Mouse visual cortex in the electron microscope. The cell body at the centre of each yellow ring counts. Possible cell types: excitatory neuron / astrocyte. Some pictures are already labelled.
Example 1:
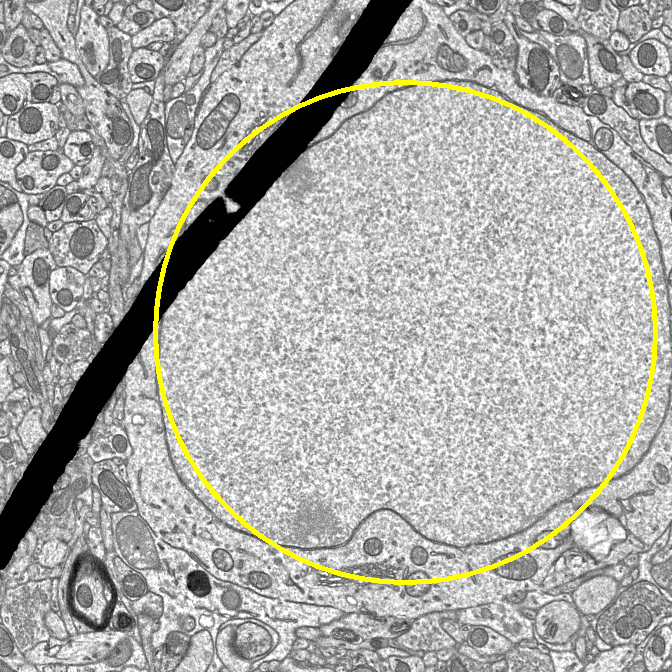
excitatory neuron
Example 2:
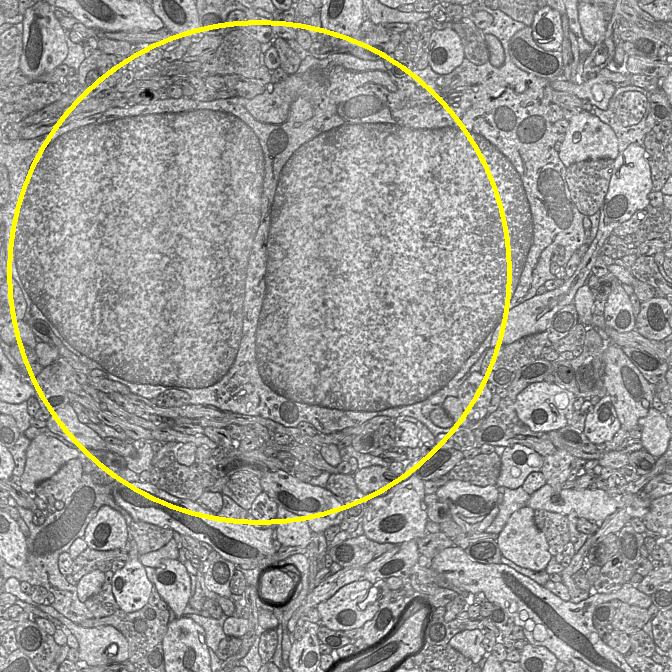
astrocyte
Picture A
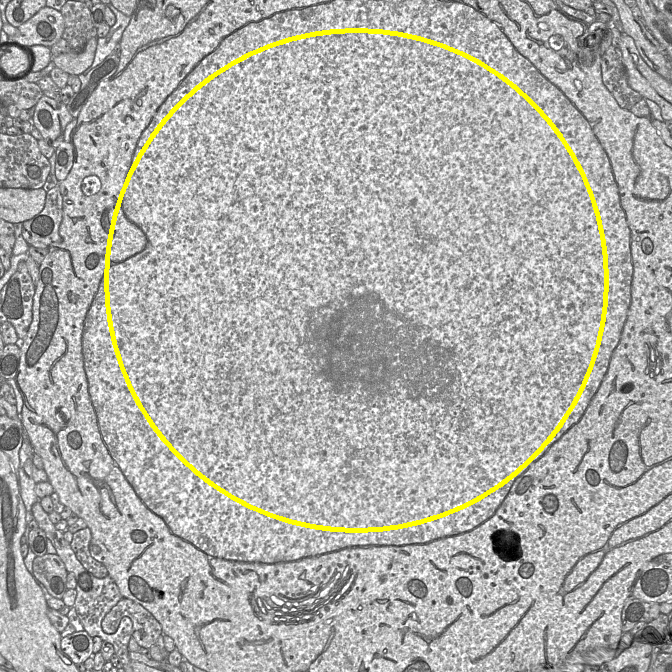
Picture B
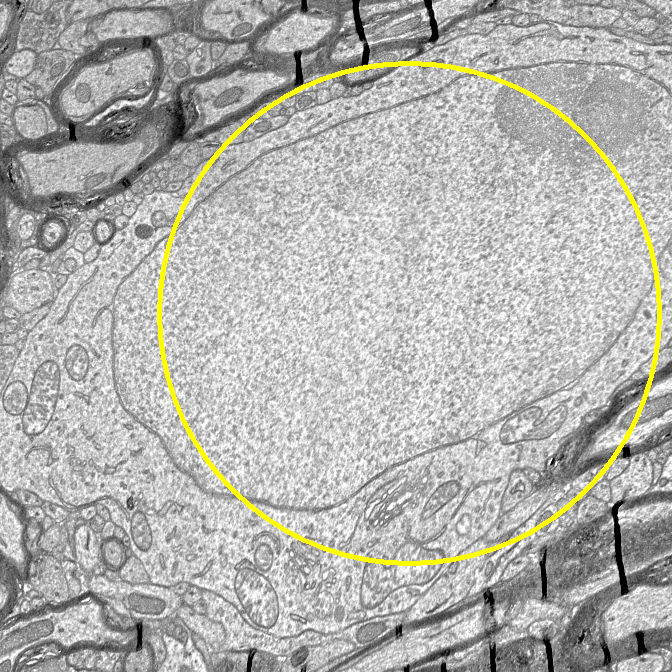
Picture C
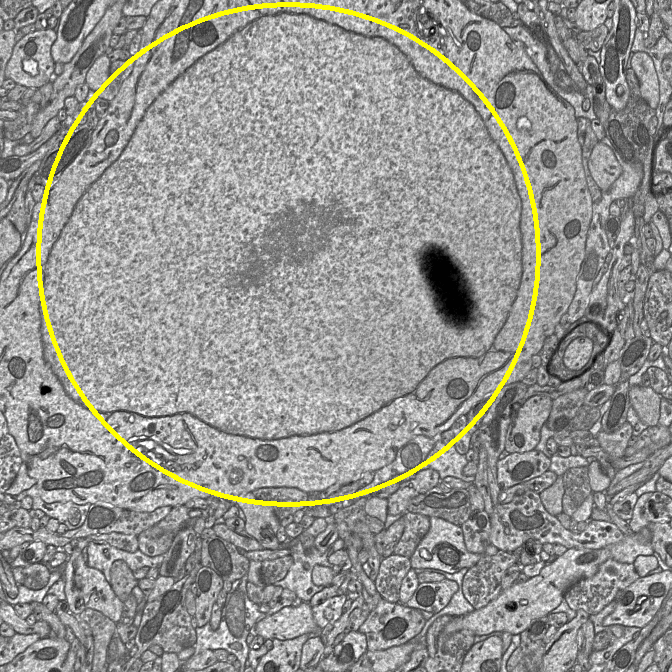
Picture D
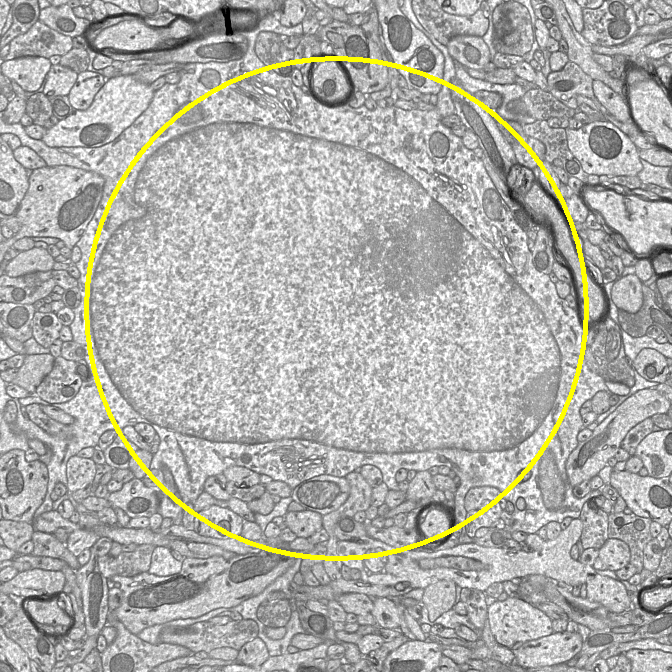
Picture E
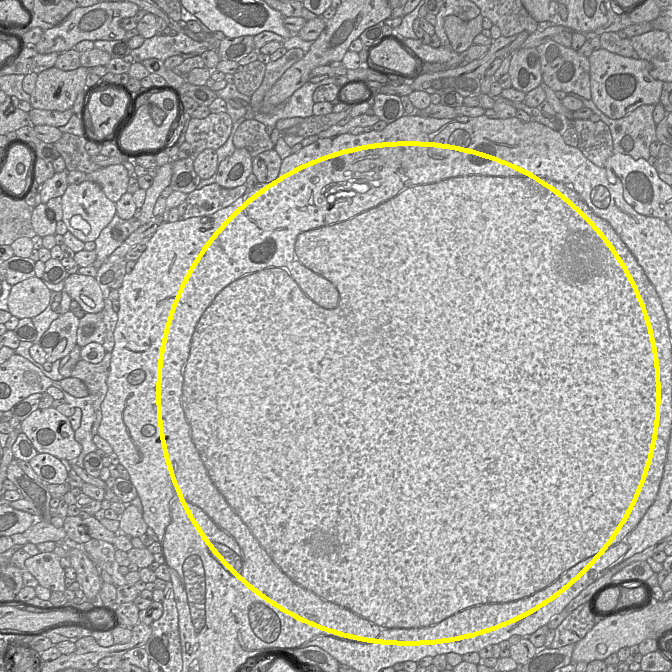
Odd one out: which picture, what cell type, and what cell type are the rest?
Different: D, astrocyte. Others: excitatory neuron.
